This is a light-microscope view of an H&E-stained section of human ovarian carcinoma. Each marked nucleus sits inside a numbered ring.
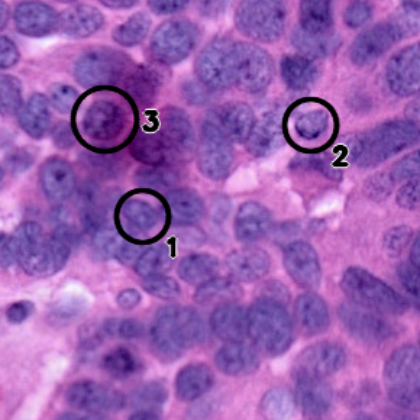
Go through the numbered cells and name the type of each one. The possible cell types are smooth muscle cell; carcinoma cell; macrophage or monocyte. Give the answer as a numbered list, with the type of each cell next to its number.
1. carcinoma cell
2. macrophage or monocyte
3. carcinoma cell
